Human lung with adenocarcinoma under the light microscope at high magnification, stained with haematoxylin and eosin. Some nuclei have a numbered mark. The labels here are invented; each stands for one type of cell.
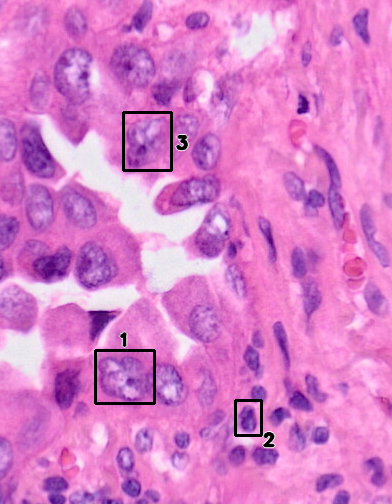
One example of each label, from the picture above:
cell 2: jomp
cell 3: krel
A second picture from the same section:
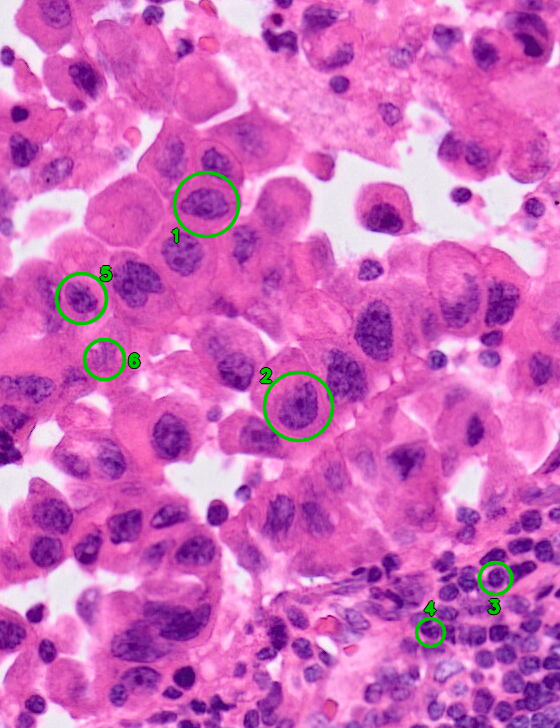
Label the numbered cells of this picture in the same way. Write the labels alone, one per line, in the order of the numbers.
krel
krel
jomp
jomp
krel
krel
